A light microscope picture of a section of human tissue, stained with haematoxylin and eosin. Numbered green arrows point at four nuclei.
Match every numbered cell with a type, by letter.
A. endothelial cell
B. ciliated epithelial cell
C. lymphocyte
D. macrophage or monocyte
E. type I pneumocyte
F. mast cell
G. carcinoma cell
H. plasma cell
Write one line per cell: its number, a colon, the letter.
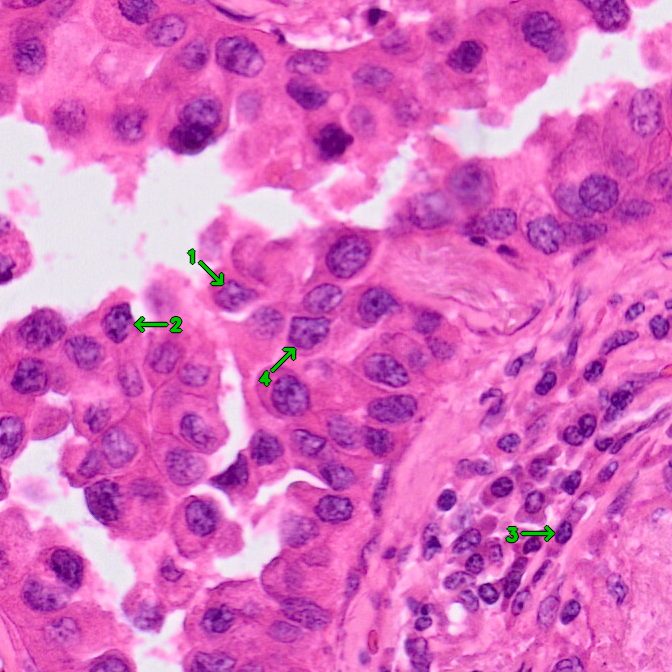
1: G
2: G
3: H
4: G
